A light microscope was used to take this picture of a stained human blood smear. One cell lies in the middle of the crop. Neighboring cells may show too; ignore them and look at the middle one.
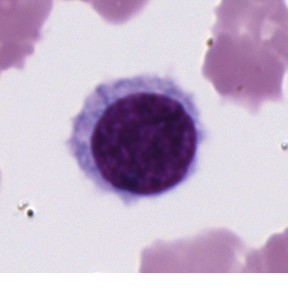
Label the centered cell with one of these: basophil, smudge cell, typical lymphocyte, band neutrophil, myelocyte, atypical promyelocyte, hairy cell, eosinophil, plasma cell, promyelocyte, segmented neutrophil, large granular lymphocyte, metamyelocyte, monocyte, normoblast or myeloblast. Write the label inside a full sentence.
Answering briefly, the cell in the middle is a hairy cell.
